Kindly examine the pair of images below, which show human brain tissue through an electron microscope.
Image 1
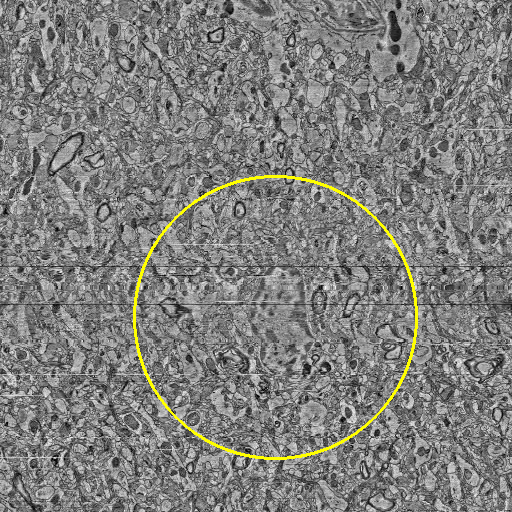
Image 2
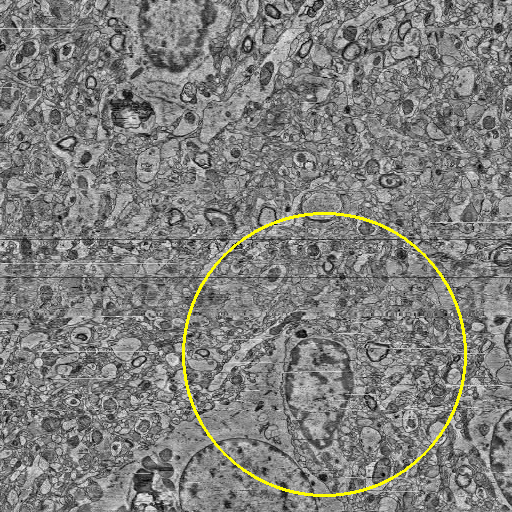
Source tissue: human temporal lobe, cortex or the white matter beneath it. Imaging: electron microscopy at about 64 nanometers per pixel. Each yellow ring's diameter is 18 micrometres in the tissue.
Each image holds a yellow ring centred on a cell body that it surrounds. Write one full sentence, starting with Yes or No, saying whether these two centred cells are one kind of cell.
Yes, both cells at the centres of the yellow rings belong to one kind of cell.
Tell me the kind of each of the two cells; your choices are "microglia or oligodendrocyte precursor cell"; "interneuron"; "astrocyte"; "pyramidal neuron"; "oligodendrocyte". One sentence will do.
Each of the ringed cells, first and second, is a microglial cell or oligodendrocyte precursor cell.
